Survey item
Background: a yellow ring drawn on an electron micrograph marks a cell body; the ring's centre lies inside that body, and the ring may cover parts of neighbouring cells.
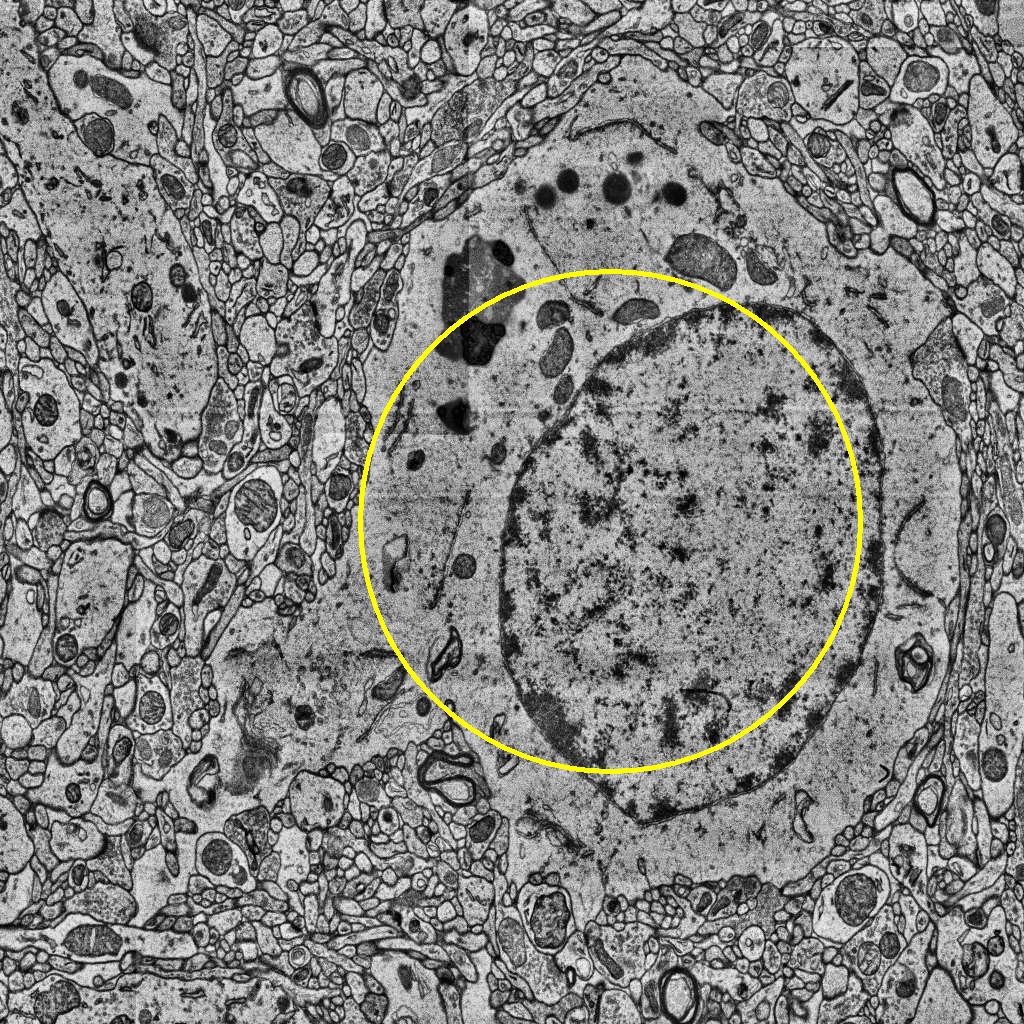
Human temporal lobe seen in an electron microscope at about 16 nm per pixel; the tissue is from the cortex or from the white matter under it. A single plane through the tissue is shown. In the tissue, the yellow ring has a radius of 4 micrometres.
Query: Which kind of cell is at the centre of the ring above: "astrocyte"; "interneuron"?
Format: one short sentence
The cell in the middle of the ring is an astrocyte.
